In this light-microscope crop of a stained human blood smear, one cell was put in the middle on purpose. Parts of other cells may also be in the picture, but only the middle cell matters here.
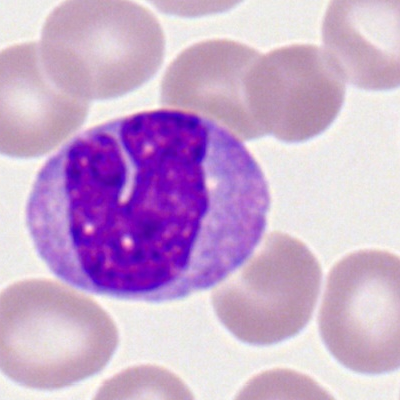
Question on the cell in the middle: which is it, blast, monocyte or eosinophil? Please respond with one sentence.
Centred in the crop is a monocyte.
